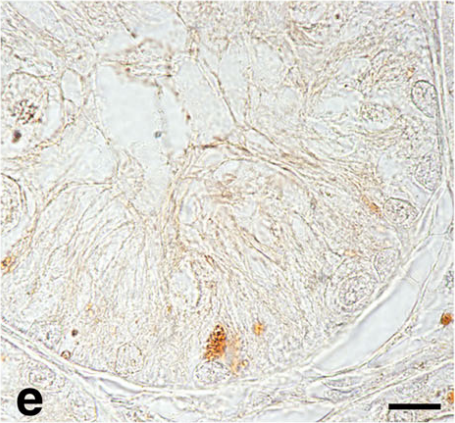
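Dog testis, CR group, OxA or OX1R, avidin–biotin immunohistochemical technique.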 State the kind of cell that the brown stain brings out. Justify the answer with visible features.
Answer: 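Sertoli cells. A compact brown granular clump lies at the basal part of the tubule. Slender cytoplasmic strands run from the base toward the lumen.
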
